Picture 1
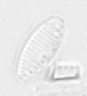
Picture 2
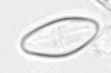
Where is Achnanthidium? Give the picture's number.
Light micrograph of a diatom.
2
